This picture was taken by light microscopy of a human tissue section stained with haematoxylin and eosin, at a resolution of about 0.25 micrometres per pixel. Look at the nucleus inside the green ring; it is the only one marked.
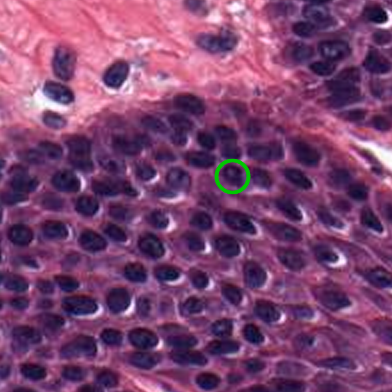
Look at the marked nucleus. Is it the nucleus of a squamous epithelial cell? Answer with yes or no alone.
yes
